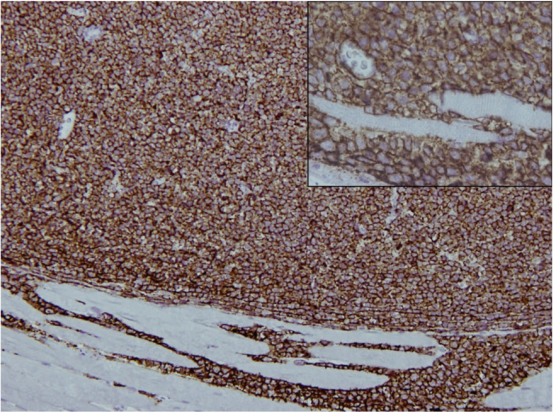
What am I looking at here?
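A dense sheet of tumor cells is shown, virtually every one of them rimmed by brown membrane staining so that the cells form a close honeycomb pattern. The brown-outlined cells also stream between pale, unstained bands of connective tissue at the lower edge. In the enlarged inset the brown staining outlines the surface of each round cell around a pale bluish nucleus.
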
